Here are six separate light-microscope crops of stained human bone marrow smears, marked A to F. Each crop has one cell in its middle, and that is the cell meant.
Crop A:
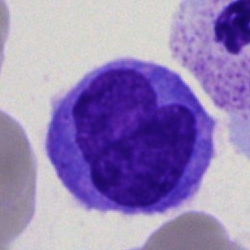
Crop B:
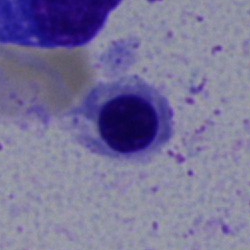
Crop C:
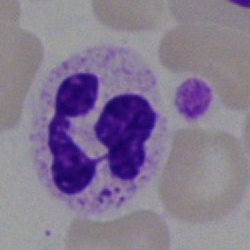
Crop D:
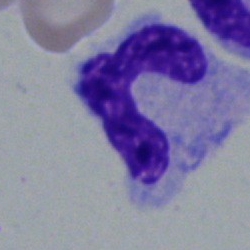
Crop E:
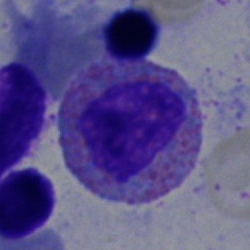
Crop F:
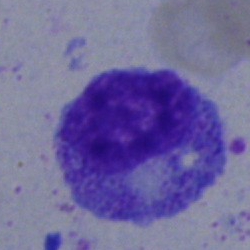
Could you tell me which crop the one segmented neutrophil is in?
C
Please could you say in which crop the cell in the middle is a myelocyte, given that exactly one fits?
F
